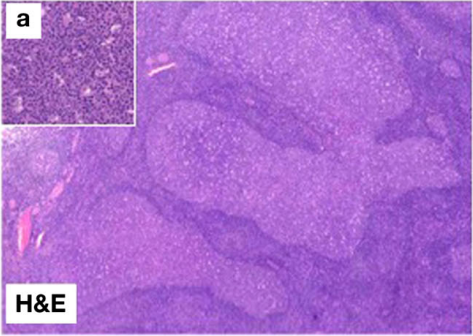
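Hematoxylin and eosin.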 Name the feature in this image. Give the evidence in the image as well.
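Lymphoid follicles. Large pale rounded to irregular nodules fill most of the field. The nodules lie close together with wavy, serpiginous borders.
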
